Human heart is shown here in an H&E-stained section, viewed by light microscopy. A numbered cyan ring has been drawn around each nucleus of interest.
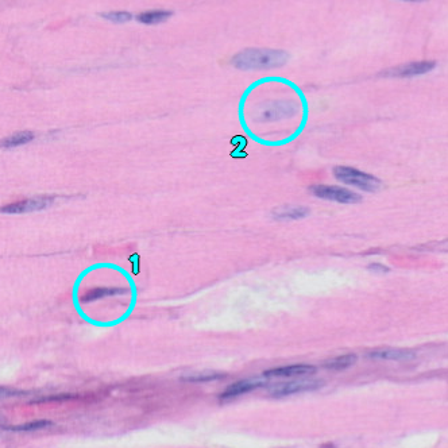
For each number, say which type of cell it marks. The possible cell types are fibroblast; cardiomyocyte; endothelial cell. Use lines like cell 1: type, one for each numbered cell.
cell 1: endothelial cell
cell 2: cardiomyocyte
